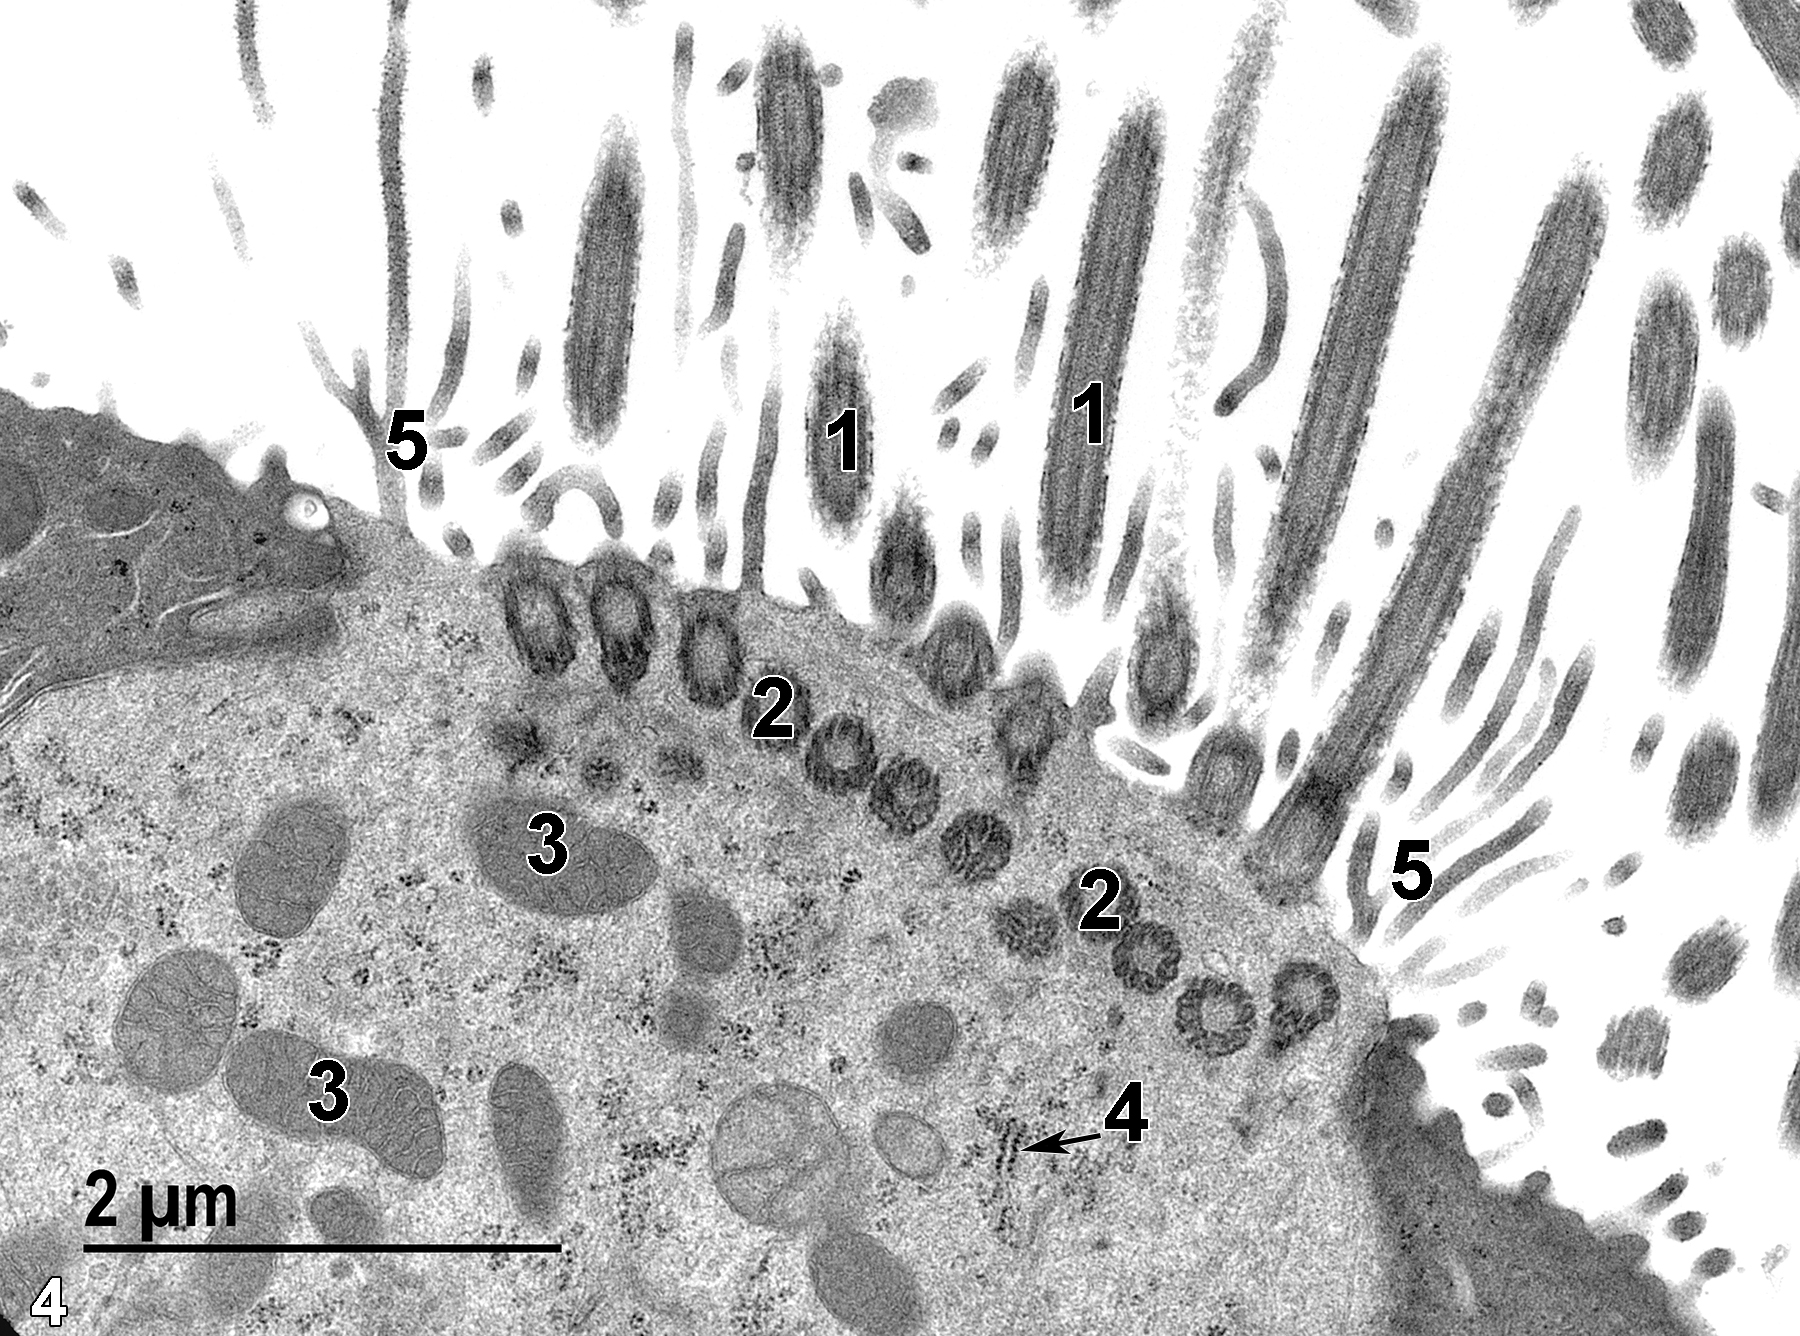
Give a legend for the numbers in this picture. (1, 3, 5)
1. cilia
3. mitochondria
5. microvilli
